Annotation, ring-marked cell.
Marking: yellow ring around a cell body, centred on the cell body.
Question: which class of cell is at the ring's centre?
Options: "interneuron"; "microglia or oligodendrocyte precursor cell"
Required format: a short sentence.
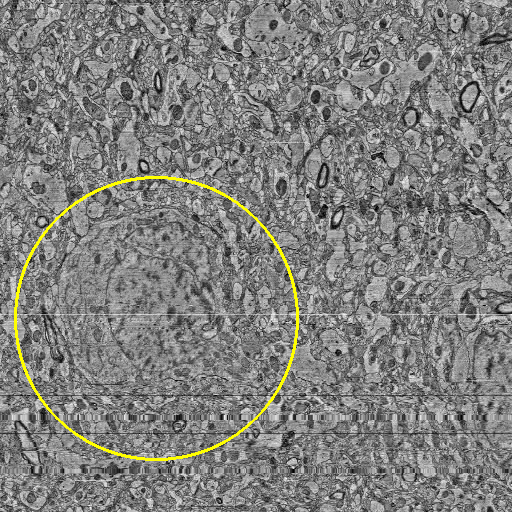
At the ring's centre is an interneuron.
